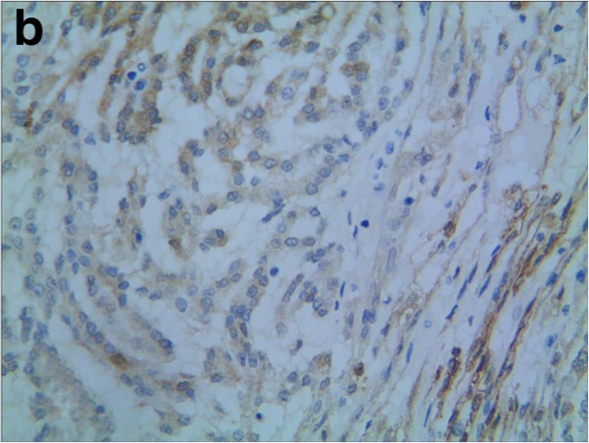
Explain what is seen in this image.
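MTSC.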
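Tumor cells with round to oval blue nuclei are arranged in small tubular and cord-like groups on the left and in long, slender spindle-shaped cells on the right. Their cytoplasm takes up a light to moderate brown stain. They lie in a pale, loose, bubbly-looking background matrix.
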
